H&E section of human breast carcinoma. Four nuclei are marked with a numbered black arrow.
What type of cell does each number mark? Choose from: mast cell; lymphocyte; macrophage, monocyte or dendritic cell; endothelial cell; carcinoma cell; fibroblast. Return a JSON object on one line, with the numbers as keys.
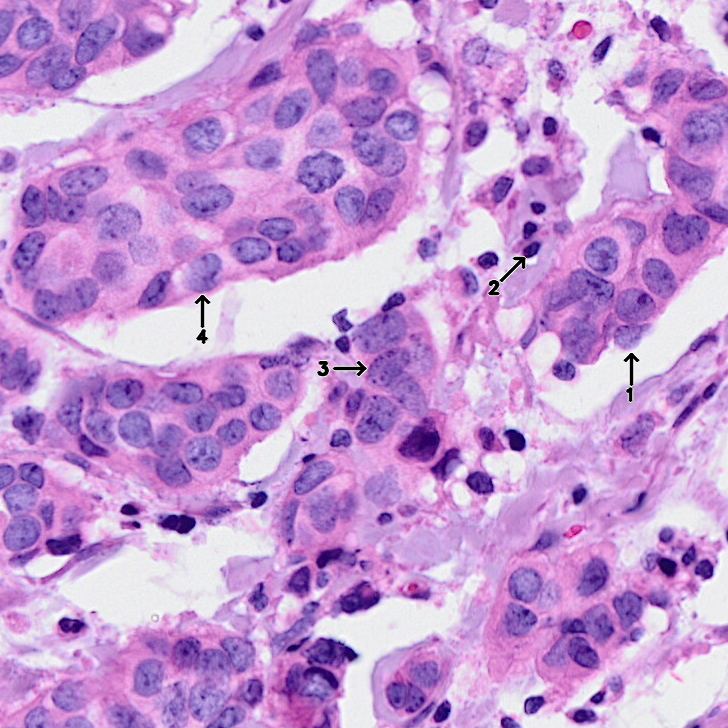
{"1": "carcinoma cell", "2": "lymphocyte", "3": "carcinoma cell", "4": "carcinoma cell"}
